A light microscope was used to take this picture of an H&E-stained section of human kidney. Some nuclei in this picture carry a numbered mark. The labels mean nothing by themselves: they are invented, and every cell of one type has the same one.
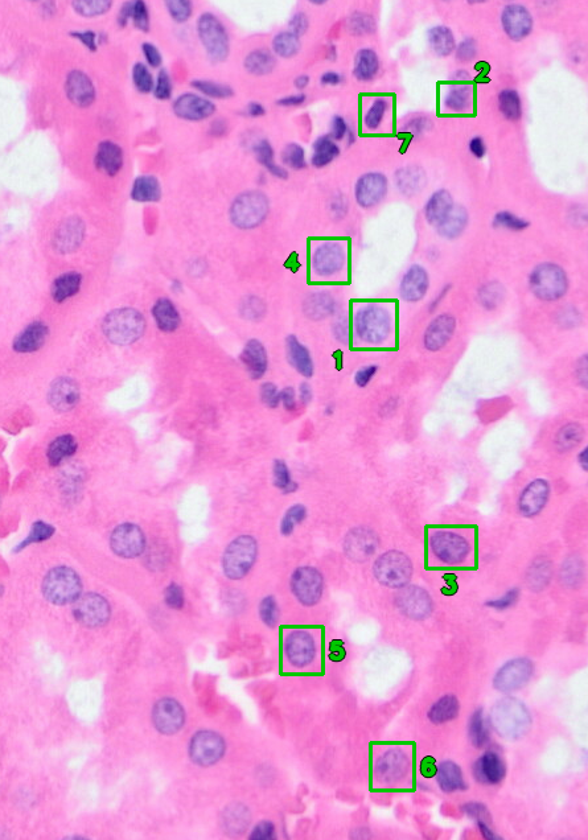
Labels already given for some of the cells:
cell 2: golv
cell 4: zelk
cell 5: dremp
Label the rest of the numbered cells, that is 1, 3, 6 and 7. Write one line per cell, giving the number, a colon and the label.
1: zelk
3: dremp
6: dremp
7: golv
